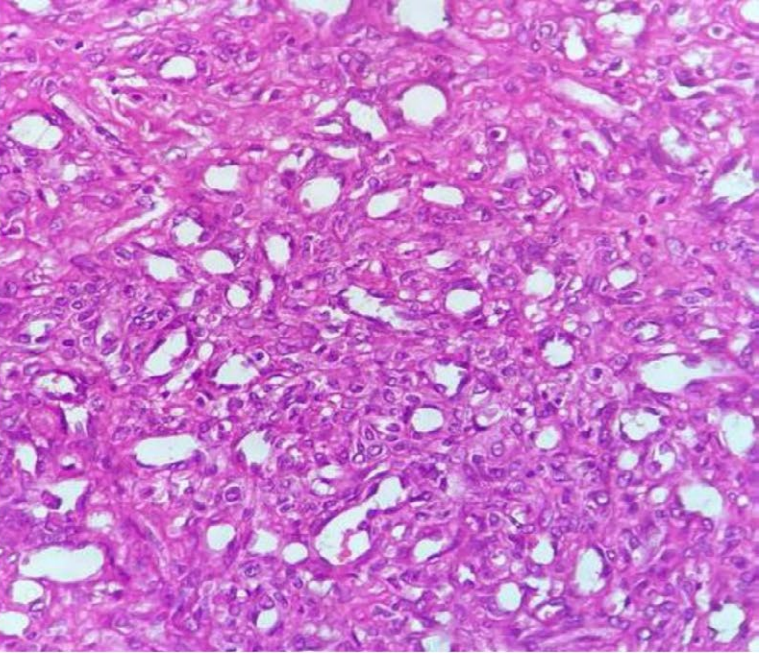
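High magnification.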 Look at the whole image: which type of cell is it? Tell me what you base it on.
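Endothelial cells. Many small round to slit-like lumens. Each lumen is lined by one layer of flattened cells with elongated to oval nuclei.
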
